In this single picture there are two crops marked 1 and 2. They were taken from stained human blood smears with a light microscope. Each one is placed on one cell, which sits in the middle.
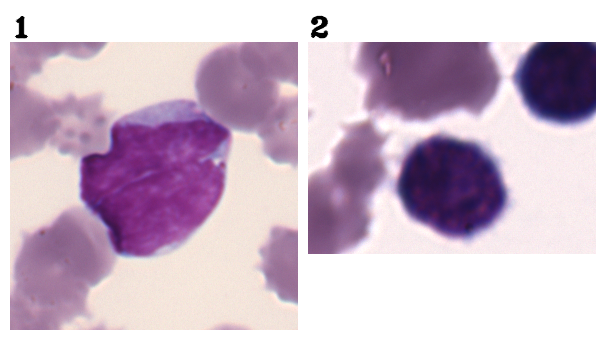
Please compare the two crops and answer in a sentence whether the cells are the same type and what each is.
No, crop 1 shows a myeloblast, with a hairy cell shown in crop 2.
